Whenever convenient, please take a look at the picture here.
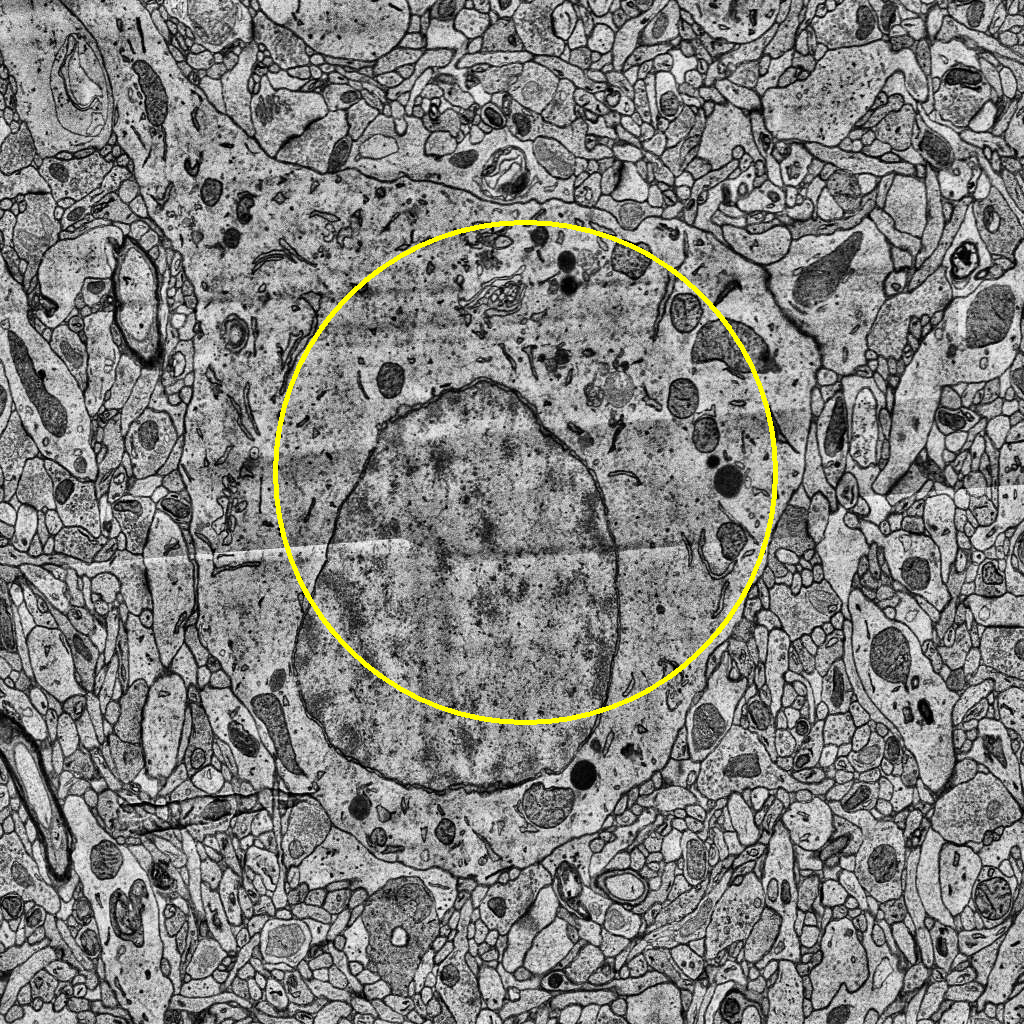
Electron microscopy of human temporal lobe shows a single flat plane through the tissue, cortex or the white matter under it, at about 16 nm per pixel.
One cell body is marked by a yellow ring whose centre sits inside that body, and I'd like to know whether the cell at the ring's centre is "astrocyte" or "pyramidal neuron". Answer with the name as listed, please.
pyramidal neuron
